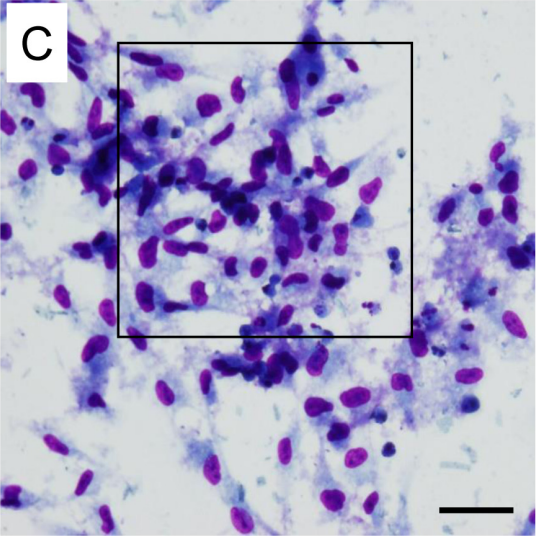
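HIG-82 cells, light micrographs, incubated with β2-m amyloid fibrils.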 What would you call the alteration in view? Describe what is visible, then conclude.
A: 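Many nuclei are small, round and very dark. Dark condensed nuclei lie among paler oval nuclei. The answer: picnotic nuclei.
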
